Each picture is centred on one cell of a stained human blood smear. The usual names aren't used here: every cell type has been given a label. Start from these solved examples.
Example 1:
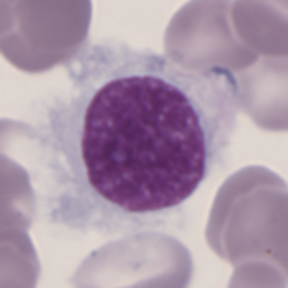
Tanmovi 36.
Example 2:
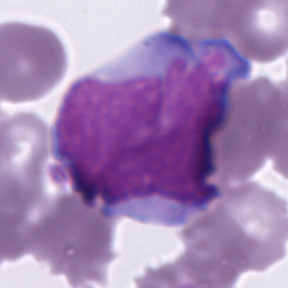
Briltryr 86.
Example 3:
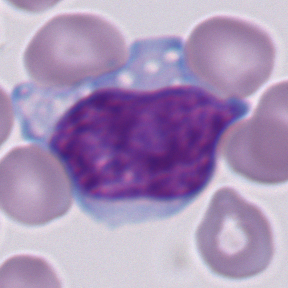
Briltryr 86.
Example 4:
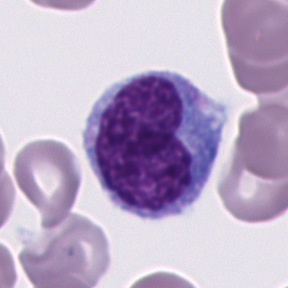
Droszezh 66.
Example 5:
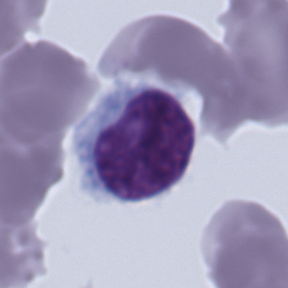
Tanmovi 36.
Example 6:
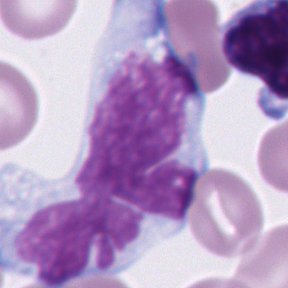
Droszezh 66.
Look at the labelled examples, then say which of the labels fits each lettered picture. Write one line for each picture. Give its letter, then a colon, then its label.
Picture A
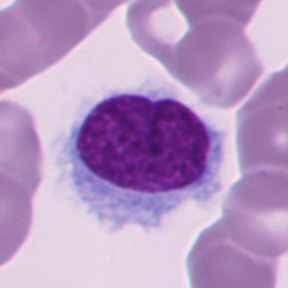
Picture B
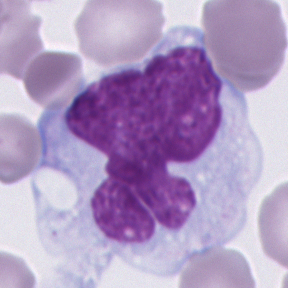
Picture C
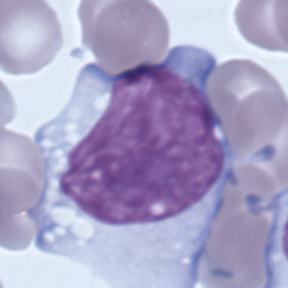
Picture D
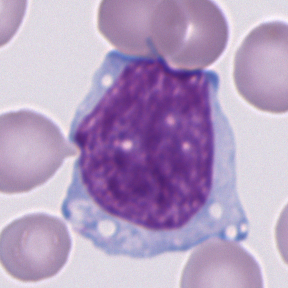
A: Tanmovi 36.
B: Droszezh 66.
C: Briltryr 86.
D: Briltryr 86.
